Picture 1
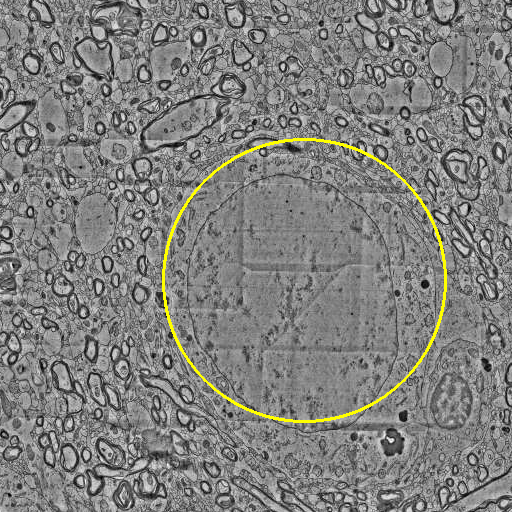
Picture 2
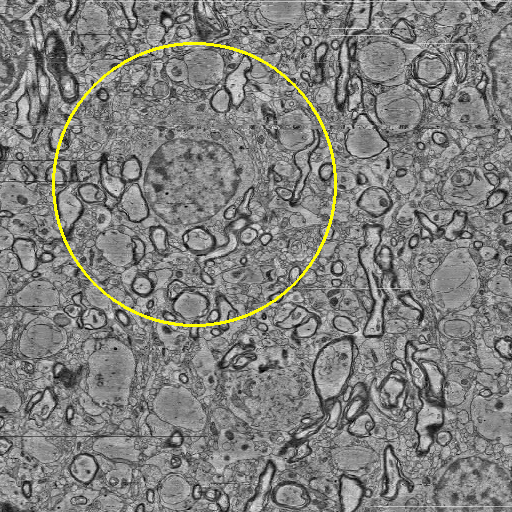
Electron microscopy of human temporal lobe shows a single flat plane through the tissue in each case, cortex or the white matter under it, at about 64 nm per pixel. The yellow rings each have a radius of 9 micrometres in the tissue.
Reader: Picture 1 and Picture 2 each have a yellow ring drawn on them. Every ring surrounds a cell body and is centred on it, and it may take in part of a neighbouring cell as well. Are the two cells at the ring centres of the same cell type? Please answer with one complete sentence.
No, the cells are of two cell types.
